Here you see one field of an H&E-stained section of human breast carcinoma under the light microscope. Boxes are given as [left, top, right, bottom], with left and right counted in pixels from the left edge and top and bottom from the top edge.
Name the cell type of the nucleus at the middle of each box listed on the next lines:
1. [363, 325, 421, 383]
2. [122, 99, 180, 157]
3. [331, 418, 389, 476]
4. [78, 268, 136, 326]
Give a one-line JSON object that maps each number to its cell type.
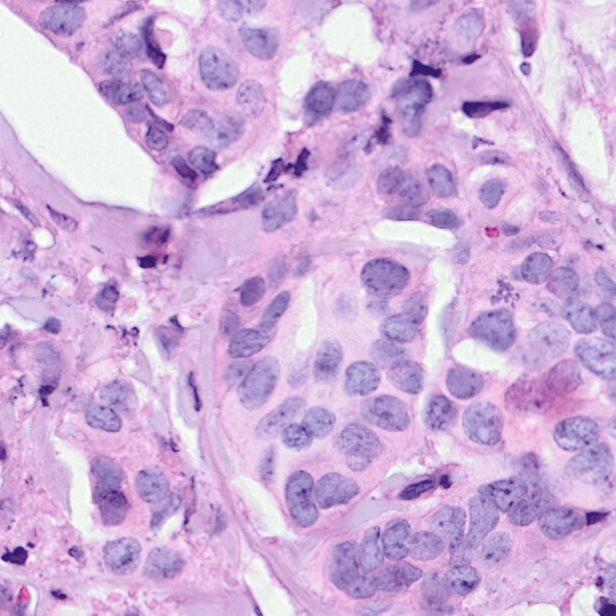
{"1": "carcinoma cell", "2": "carcinoma cell", "3": "carcinoma cell", "4": "macrophage, monocyte or dendritic cell"}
